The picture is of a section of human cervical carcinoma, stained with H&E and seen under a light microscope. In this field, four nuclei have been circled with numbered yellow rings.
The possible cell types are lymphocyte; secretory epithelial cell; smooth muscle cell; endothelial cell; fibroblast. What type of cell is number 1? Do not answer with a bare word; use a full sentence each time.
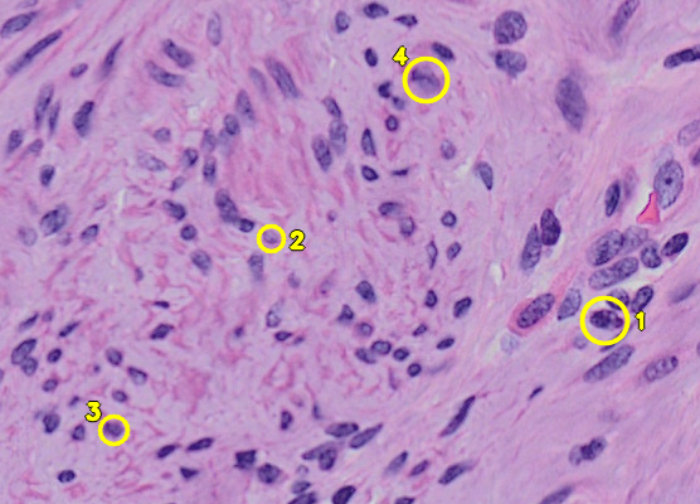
The nucleus labeled 1 belongs to a lymphocyte.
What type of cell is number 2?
Numbered cell 2 is a smooth muscle cell in this tissue section.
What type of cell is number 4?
The nucleus marked 4 is the nucleus of a smooth muscle cell.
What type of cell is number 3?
It is as a smooth muscle cell that the cell numbered 3 is identified.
